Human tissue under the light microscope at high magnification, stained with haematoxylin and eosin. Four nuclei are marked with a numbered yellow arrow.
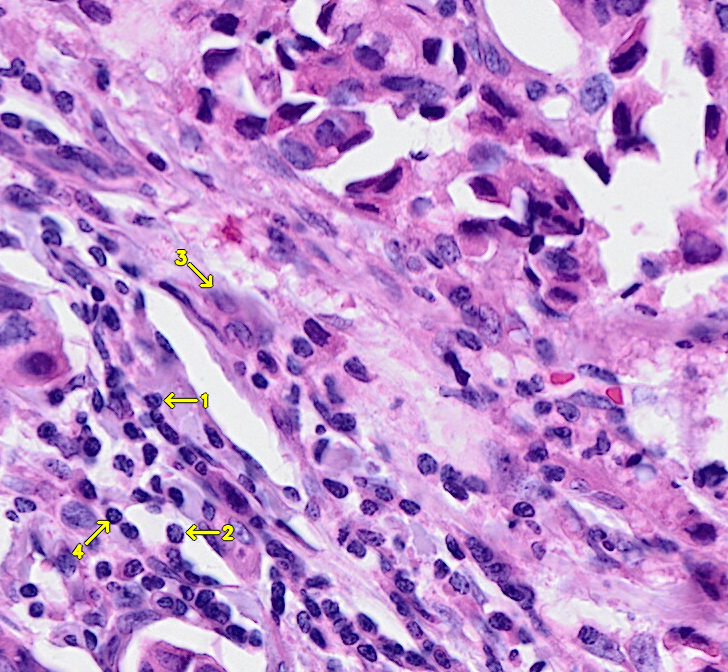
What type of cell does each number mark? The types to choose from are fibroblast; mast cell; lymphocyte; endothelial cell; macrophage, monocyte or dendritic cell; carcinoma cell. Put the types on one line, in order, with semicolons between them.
lymphocyte; lymphocyte; endothelial cell; lymphocyte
